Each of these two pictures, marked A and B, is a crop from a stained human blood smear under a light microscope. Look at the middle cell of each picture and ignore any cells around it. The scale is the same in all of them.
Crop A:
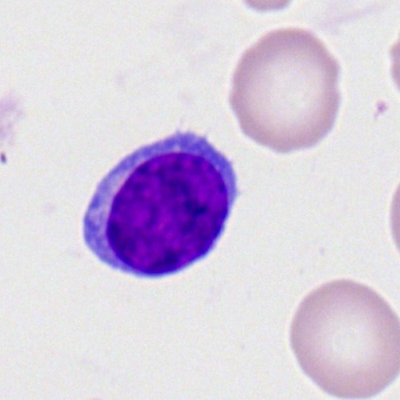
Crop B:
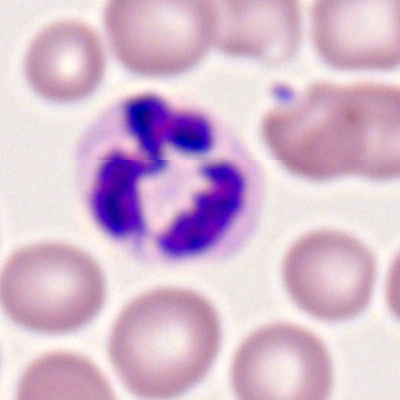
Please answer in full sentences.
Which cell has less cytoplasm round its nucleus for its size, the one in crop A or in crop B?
It is the cell in crop A that is filled more by its nucleus.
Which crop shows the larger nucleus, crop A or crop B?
Crop A shows the larger nucleus; it covers about 4 times the area of the nucleus in crop B.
